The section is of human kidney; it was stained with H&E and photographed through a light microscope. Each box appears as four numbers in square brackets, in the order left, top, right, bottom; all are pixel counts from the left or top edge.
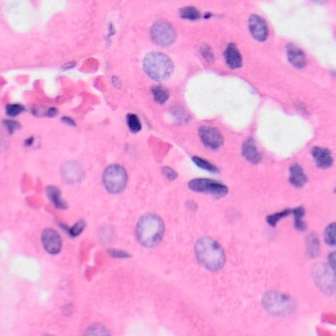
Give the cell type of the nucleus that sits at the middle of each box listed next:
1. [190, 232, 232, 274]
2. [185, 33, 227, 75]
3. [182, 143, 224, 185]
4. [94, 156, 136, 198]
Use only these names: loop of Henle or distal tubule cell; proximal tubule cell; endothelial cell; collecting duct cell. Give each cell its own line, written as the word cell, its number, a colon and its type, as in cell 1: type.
cell 1: proximal tubule cell
cell 2: loop of Henle or distal tubule cell
cell 3: endothelial cell
cell 4: proximal tubule cell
